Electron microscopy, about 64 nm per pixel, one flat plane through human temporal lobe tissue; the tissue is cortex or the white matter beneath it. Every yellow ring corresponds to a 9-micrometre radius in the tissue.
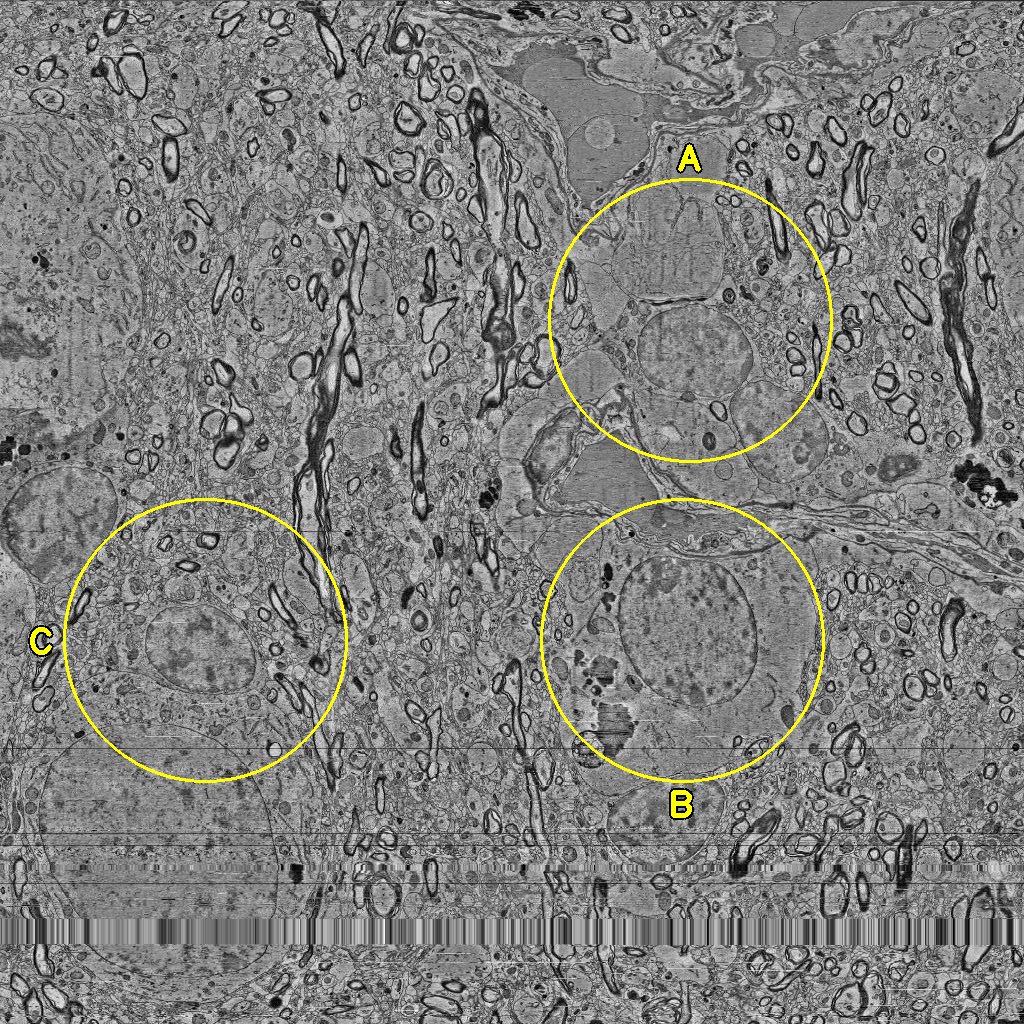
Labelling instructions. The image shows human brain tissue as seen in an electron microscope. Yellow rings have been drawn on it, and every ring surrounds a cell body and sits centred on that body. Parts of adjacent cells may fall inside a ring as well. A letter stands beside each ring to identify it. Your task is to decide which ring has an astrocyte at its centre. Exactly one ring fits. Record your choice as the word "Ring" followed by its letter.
Ring B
